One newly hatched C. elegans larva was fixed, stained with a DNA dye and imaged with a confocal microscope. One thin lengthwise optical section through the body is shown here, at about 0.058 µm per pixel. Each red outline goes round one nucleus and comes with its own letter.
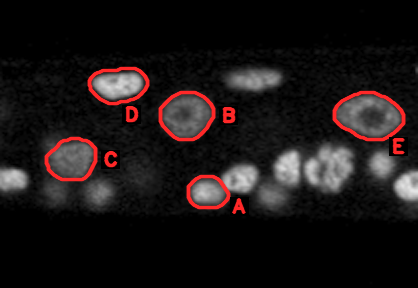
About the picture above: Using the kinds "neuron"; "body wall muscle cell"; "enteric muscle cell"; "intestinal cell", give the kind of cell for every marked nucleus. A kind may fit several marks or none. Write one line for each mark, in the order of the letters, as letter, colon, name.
A: neuron
B: intestinal cell
C: intestinal cell
D: body wall muscle cell
E: intestinal cell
